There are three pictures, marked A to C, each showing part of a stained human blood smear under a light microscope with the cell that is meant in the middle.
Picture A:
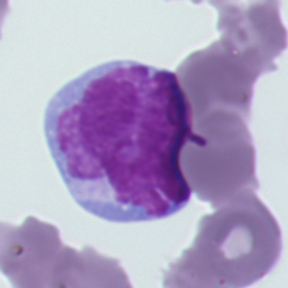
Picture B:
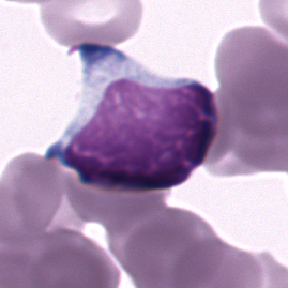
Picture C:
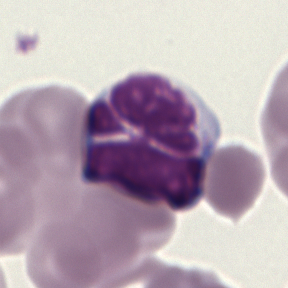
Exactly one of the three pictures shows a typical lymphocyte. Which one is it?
B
